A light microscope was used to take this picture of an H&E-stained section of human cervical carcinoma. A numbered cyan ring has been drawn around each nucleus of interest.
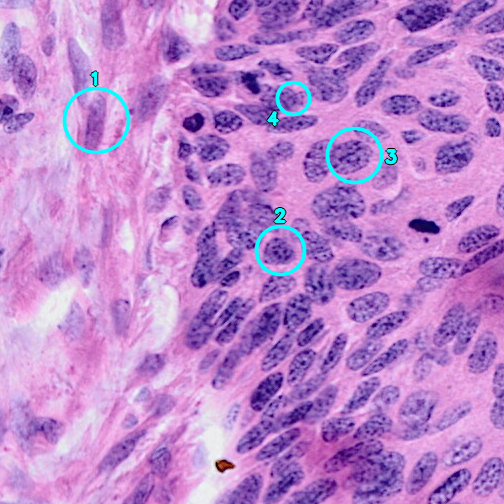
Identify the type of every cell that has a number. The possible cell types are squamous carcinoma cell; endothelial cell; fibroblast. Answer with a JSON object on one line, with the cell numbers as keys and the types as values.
{"1": "fibroblast", "2": "squamous carcinoma cell", "3": "squamous carcinoma cell", "4": "squamous carcinoma cell"}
